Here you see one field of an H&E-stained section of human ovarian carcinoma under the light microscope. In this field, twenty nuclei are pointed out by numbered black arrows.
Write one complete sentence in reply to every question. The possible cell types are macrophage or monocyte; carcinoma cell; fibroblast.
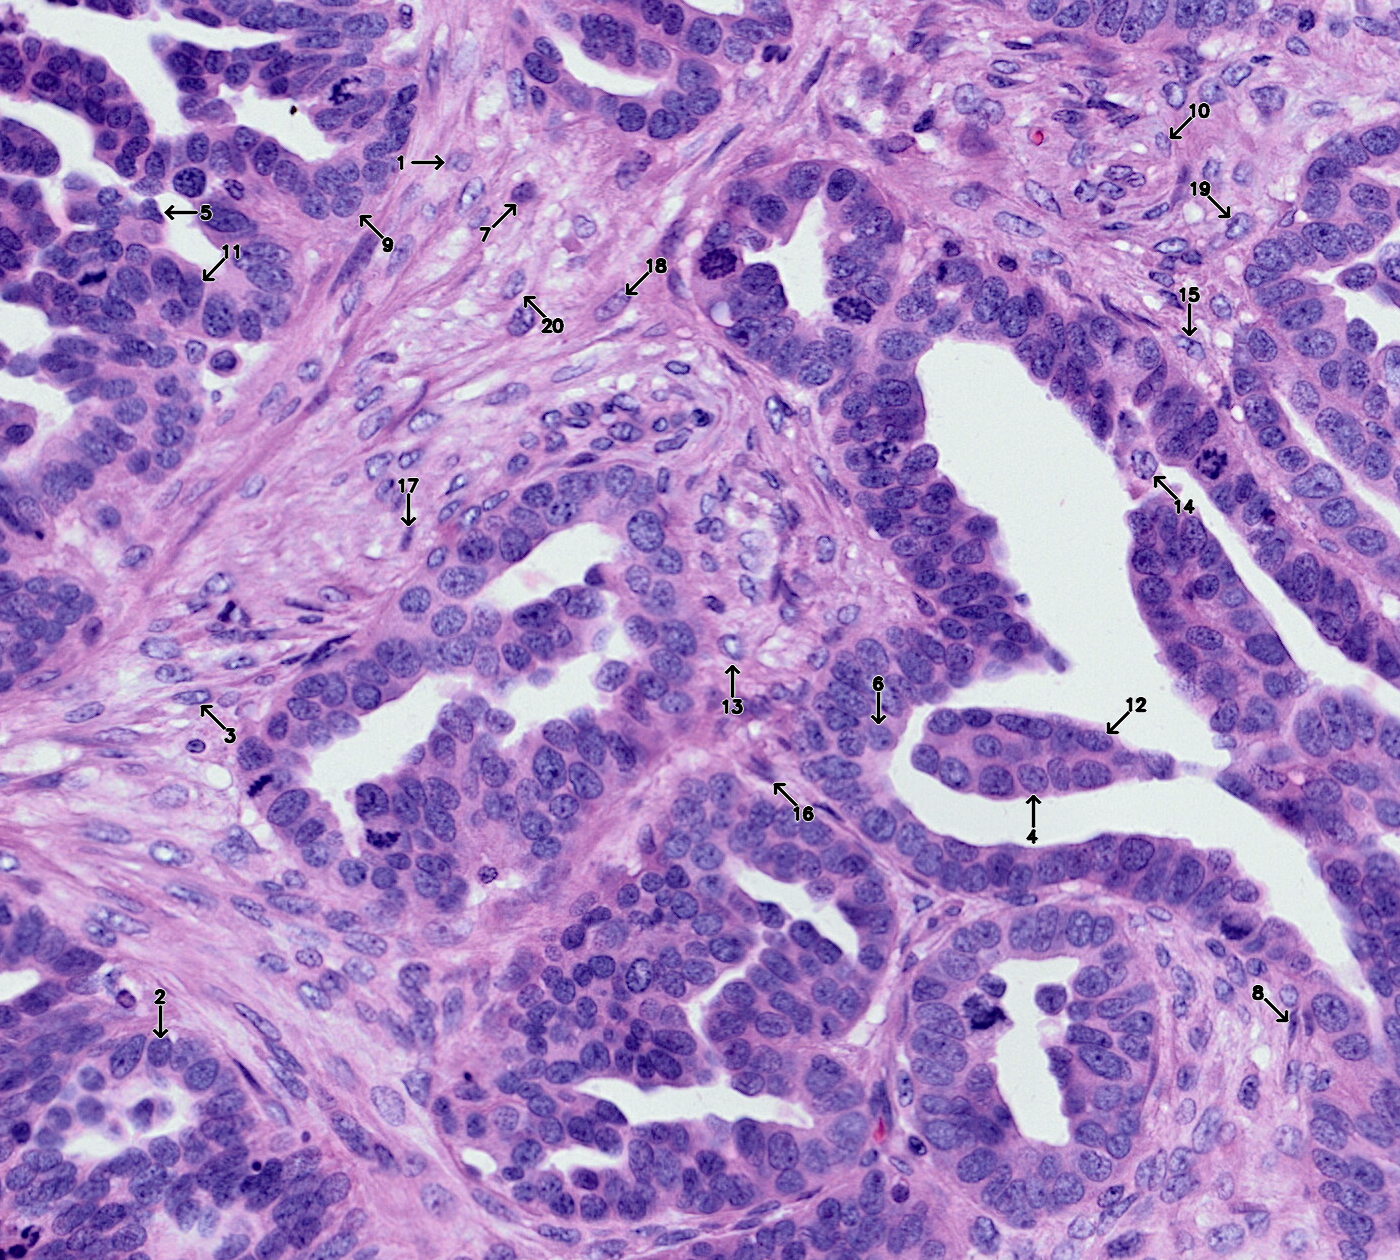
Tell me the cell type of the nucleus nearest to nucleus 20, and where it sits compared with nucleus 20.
Lying below nucleus 20, the nearest nucleus is that of a fibroblast.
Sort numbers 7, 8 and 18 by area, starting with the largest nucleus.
Going from the biggest nucleus down to the smallest gives 18, 7, 8.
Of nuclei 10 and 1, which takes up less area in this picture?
Nucleus 10 is the smaller one; nucleus 1 covers about 1.5 times its area.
